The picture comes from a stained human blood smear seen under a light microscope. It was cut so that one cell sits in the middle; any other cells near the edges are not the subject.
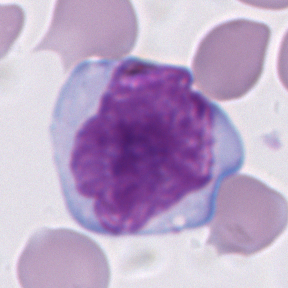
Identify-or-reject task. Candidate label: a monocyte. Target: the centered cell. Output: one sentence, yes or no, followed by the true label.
No, the cell in the middle is not a monocyte but a blast.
